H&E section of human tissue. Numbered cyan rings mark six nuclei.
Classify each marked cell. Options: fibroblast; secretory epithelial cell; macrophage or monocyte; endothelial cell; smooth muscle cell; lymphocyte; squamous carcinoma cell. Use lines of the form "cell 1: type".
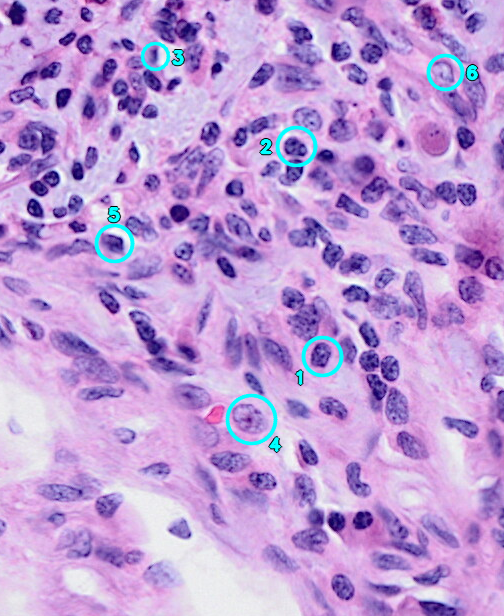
cell 1: lymphocyte
cell 2: lymphocyte
cell 3: lymphocyte
cell 4: endothelial cell
cell 5: lymphocyte
cell 6: endothelial cell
